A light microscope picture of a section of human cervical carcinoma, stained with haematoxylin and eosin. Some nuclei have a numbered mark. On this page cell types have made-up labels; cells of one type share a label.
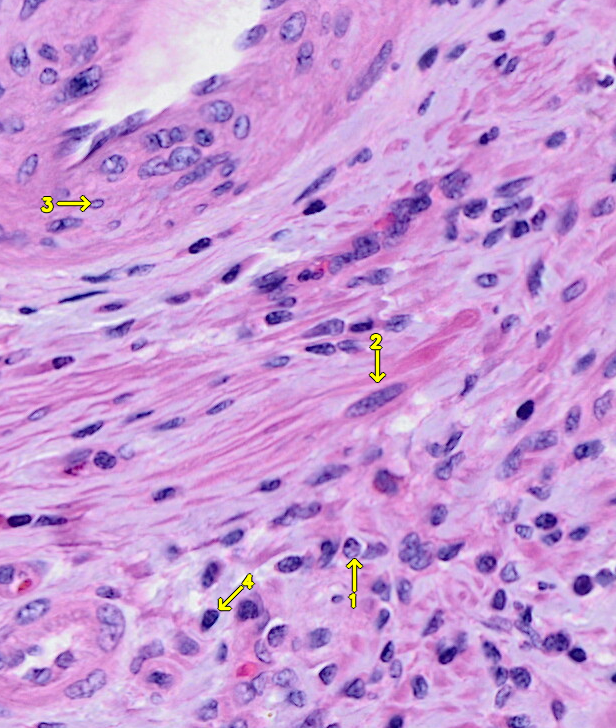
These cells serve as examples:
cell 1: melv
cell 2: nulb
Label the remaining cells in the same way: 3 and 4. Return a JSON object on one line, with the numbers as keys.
{"3": "nulb", "4": "melv"}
